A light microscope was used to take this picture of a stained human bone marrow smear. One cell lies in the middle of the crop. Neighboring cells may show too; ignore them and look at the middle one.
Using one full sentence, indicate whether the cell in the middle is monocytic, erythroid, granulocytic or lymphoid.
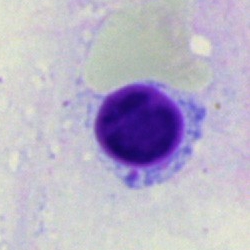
In terms of lineage, the cell at the center is lymphoid.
